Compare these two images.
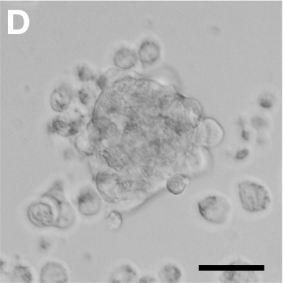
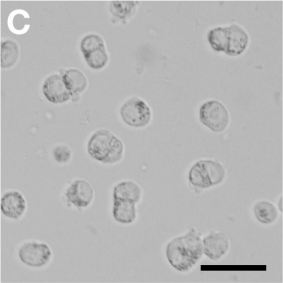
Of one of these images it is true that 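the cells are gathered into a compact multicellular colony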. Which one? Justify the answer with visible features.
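The first image. Second image: round cells lie singly or in pairs, spread apart. First image: many cells are packed into one large rounded cluster with loose cells around it.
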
